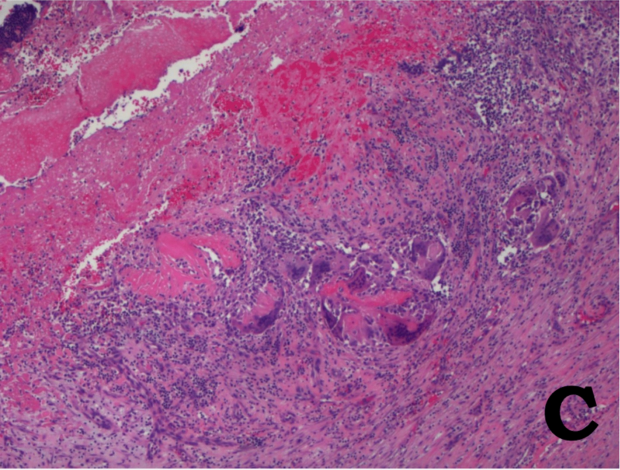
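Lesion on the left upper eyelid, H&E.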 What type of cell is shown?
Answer: Foreign-body multinucleated giant cell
